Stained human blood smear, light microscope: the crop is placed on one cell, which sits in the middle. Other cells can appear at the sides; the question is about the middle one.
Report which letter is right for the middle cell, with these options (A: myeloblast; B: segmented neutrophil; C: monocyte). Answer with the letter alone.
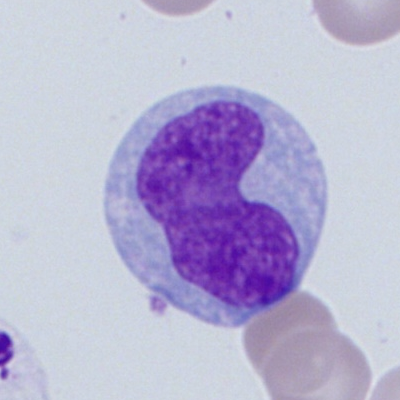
C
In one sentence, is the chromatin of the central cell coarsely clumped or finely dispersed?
No coarse chromatin clumps are present; the pattern is fine.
